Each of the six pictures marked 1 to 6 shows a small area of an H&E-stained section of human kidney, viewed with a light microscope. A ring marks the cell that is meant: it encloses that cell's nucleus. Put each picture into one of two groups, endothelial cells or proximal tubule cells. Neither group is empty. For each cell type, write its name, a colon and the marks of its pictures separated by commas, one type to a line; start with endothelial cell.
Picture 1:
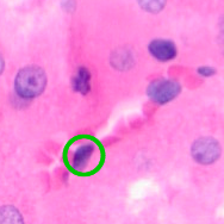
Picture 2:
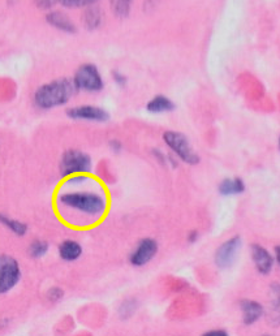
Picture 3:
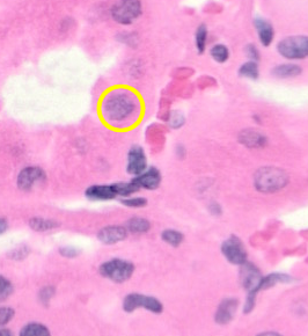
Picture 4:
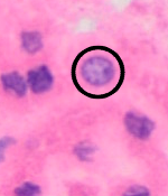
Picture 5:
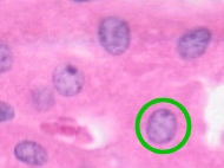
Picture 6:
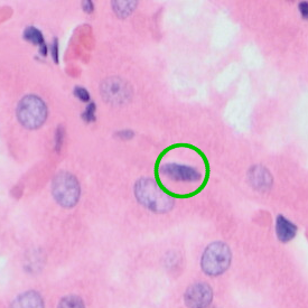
endothelial cell: 1, 2, 6
proximal tubule cell: 3, 4, 5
